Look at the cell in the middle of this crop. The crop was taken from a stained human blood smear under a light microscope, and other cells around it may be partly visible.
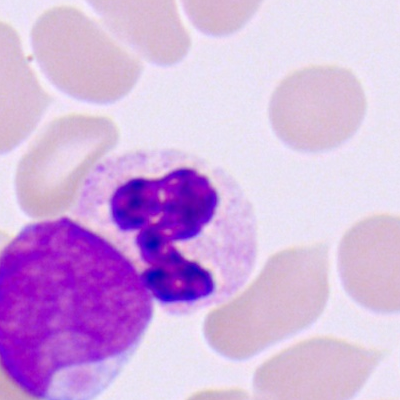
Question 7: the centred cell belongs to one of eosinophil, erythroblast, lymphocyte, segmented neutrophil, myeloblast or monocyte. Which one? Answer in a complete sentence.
The central cell in this smear crop is a segmented neutrophil.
